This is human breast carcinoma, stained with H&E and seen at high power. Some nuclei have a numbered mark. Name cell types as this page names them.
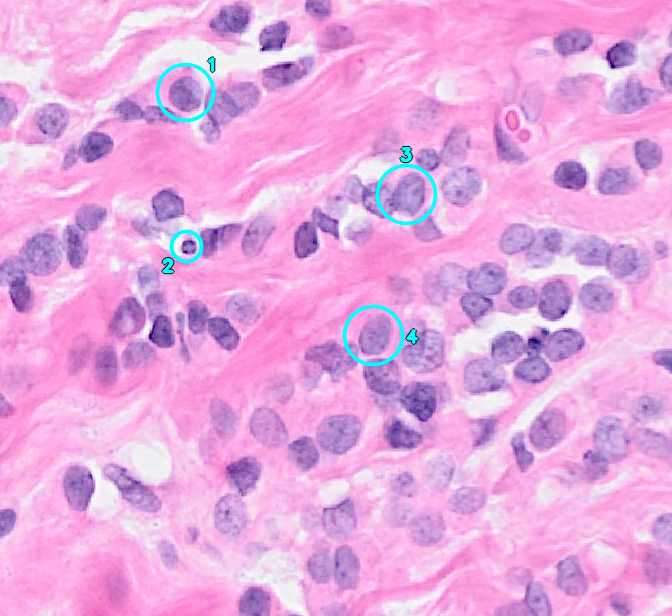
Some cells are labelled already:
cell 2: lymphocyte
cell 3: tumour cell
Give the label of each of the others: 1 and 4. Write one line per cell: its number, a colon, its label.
1: tumour cell
4: tumour cell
